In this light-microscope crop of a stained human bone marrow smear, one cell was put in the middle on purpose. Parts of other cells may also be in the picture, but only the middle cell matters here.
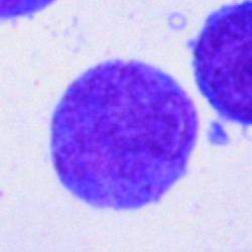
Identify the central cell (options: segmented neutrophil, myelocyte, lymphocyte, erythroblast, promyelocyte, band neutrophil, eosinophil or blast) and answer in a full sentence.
The cell nearest the centre of this crop is a blast.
